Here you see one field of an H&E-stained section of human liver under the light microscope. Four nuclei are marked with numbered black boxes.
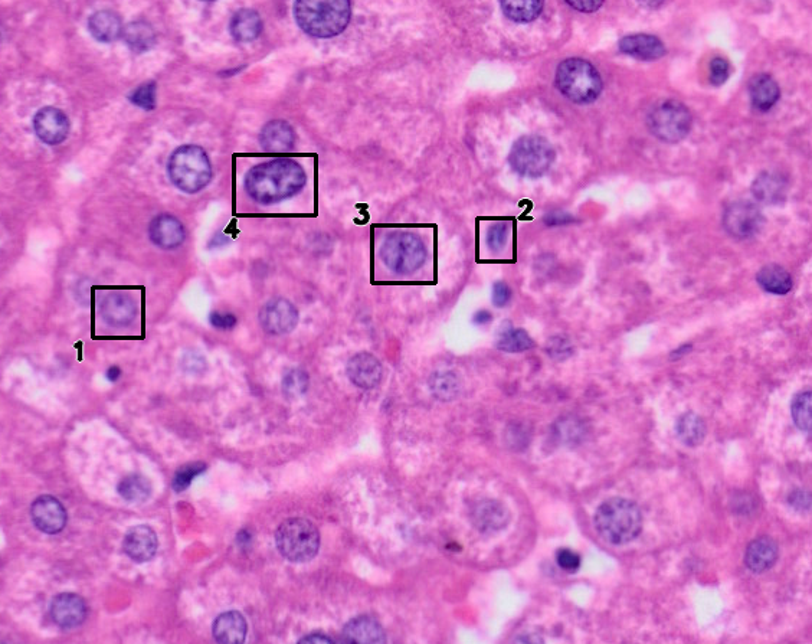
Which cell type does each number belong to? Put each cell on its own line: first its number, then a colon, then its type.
1: hepatocyte
2: lymphocyte
3: hepatocyte
4: hepatocyte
